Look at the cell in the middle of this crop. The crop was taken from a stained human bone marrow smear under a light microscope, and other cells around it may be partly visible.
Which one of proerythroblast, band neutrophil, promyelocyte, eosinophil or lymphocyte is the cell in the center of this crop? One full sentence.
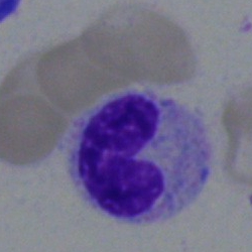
What the crop centres on is a band neutrophil.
